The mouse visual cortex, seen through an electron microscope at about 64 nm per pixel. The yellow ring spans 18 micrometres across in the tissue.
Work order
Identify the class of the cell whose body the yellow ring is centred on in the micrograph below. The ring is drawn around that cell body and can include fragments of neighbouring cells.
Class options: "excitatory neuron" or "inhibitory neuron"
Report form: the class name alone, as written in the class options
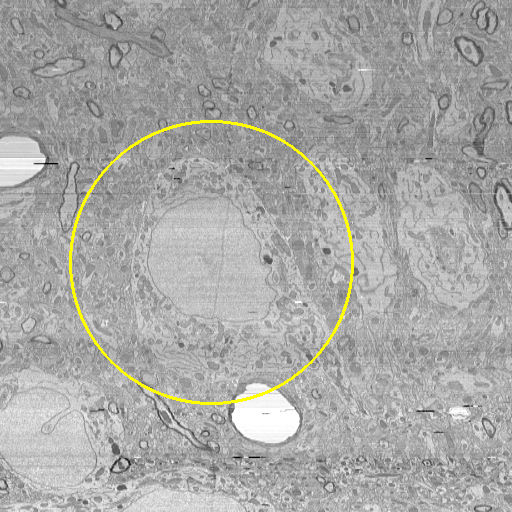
inhibitory neuron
